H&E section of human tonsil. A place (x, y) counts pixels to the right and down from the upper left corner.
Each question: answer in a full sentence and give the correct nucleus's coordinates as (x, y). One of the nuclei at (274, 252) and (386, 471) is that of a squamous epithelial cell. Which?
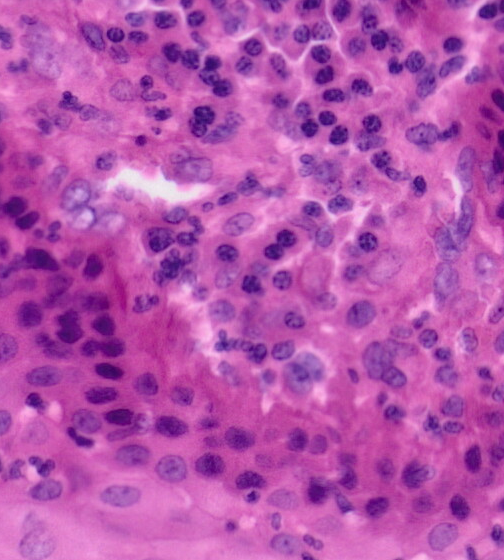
That would be the nucleus at (386, 471); it belongs to a squamous epithelial cell.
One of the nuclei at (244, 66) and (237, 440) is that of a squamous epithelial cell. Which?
The nucleus situated at (237, 440) is the one belonging to a squamous epithelial cell.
